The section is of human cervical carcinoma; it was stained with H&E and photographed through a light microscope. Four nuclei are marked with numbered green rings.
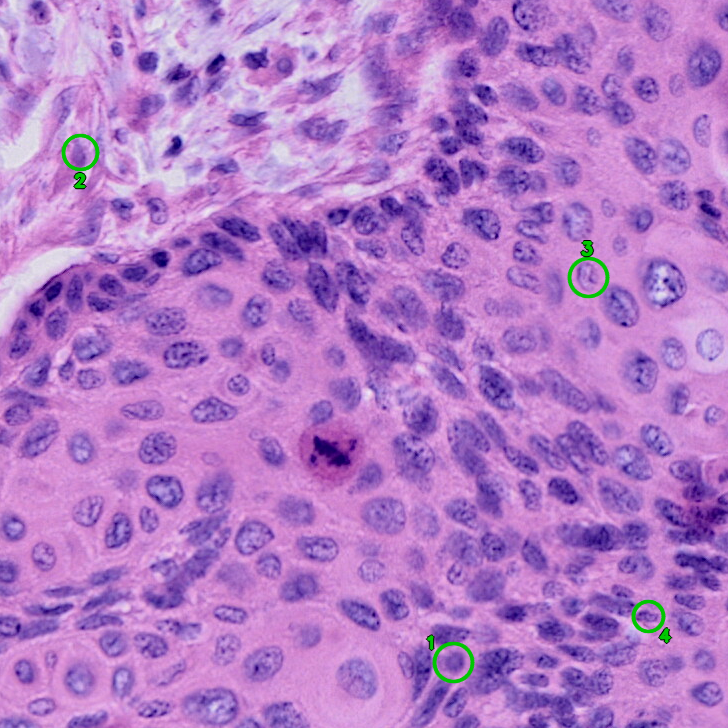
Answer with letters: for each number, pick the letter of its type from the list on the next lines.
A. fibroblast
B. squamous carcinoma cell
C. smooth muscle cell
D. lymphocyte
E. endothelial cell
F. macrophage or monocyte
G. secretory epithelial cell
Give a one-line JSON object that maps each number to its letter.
{"1": "B", "2": "A", "3": "B", "4": "B"}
